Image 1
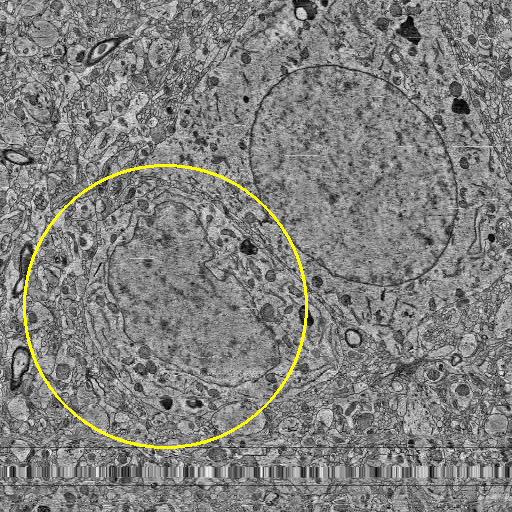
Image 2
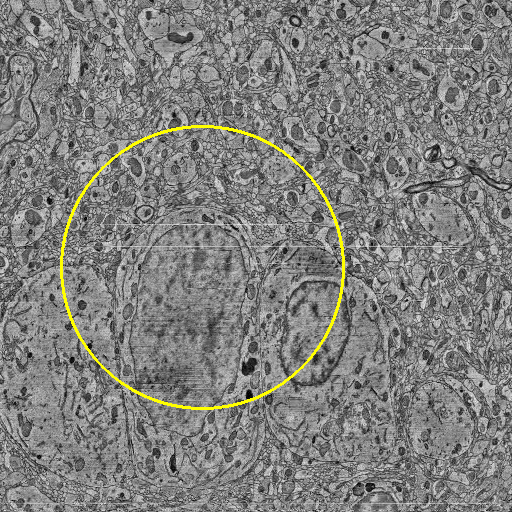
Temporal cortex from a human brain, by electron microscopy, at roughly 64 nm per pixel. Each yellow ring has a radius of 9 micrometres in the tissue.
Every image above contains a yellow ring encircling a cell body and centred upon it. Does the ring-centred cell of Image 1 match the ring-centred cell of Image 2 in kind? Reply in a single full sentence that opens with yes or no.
Yes, the cell at the ring's centre in Image 1 is the same kind as that in Image 2.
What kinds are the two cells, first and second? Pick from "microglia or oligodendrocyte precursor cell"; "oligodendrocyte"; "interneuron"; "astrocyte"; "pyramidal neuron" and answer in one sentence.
Each of the two pictures has an interneuron at the ring centre.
